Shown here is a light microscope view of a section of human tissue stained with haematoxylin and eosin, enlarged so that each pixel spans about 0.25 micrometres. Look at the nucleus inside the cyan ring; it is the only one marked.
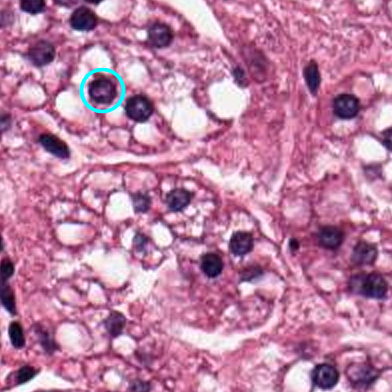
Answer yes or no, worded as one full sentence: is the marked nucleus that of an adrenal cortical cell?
Yes, the marked nucleus is the nucleus belonging to an adrenal cortical cell.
